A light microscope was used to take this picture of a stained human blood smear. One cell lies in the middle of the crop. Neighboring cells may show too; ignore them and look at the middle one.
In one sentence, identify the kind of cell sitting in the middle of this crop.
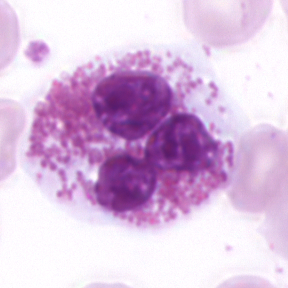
Positioned in the middle of the crop is an eosinophil.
